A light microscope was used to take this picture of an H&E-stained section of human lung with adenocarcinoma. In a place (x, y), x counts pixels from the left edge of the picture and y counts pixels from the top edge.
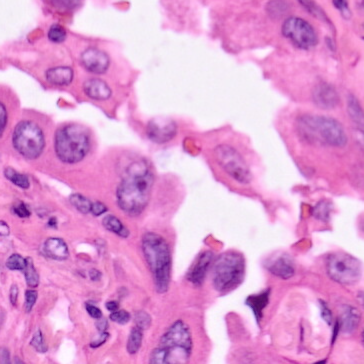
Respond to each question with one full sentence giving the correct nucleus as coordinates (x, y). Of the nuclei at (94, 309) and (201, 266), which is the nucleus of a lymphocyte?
The nucleus at (94, 309) is the one that belongs to a lymphocyte.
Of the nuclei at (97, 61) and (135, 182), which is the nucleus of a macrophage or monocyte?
The nucleus of a macrophage or monocyte is the one found at (97, 61), not the other.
